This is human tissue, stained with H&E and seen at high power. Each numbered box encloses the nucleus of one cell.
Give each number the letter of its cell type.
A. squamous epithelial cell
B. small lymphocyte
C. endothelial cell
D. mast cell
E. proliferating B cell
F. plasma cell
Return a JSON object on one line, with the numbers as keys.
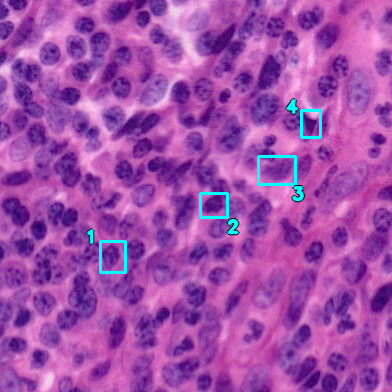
{"1": "F", "2": "F", "3": "A", "4": "A"}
